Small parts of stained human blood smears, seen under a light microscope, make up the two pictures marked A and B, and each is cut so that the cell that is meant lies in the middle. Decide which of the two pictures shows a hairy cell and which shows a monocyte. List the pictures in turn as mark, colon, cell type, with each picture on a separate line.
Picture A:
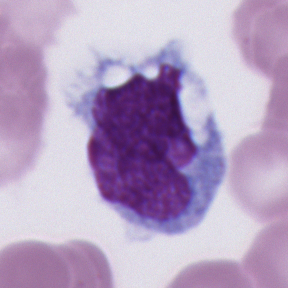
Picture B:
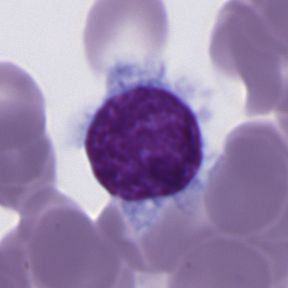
A: monocyte
B: hairy cell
